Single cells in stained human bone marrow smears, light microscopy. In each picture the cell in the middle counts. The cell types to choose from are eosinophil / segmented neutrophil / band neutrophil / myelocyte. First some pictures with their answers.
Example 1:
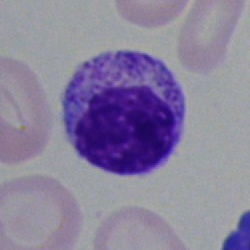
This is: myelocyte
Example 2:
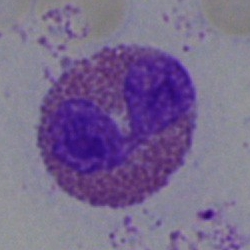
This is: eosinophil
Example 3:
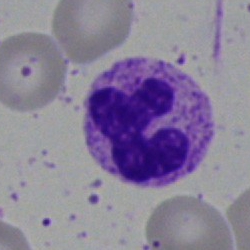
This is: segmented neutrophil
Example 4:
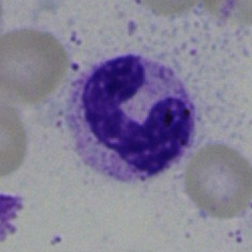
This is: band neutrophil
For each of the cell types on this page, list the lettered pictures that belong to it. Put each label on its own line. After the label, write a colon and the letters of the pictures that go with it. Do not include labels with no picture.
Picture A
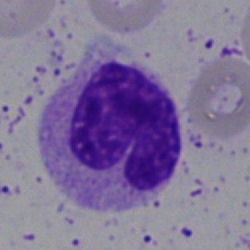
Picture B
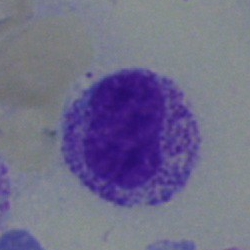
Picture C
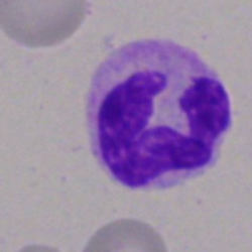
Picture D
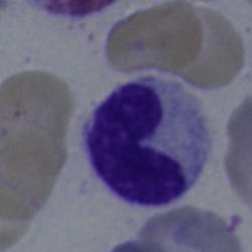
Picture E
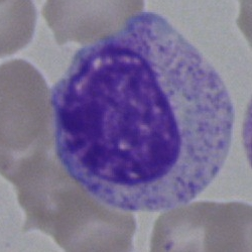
segmented neutrophil: C
band neutrophil: A, D
myelocyte: B, E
